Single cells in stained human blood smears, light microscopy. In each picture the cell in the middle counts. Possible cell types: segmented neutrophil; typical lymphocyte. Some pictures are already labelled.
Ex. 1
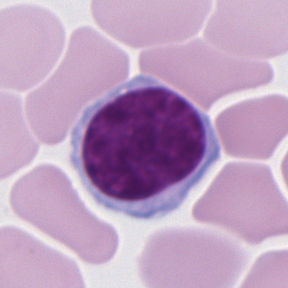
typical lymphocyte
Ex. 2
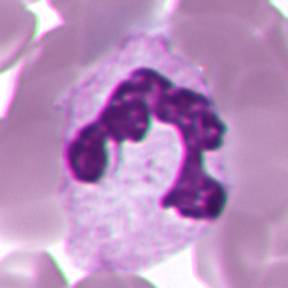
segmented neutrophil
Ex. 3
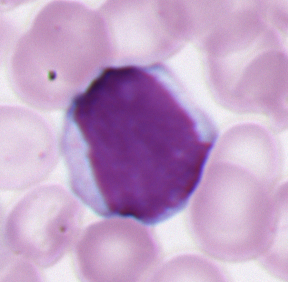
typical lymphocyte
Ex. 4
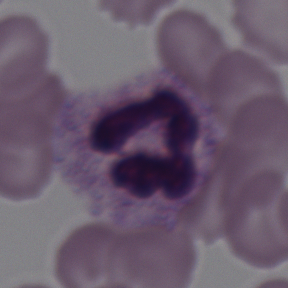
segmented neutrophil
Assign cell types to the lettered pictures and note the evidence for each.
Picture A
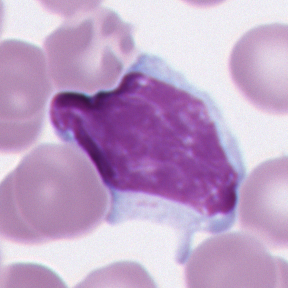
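Answer: typical lymphocyte. The cytoplasm is scant and forms its widest band below the nucleus.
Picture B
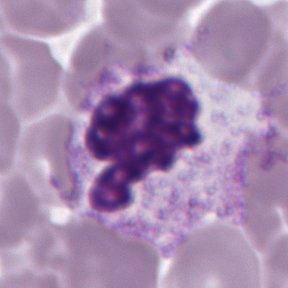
Answer: segmented neutrophil. The pale cytoplasm is plentiful and lies mostly to the right of and below the nucleus.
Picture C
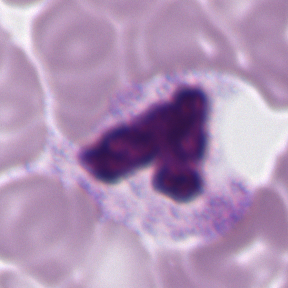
Answer: segmented neutrophil. The cytoplasm is plentiful and very pale, almost colourless.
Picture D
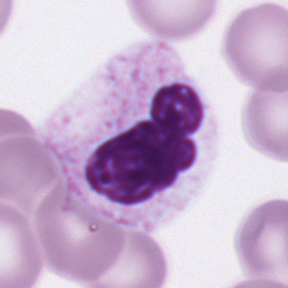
Answer: segmented neutrophil. The cytoplasm is abundant and very pale pink.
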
